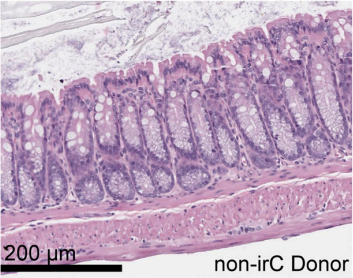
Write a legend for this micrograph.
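This is a section of normal-looking colon wall stained with hematoxylin and eosin. The mucosa is made of straight, evenly spaced crypts running down from the surface like test tubes. Their lining is full of goblet cells, seen as pale, clear, rounded vacuoles with small dark nuclei pushed to the base. Between the crypts is a narrow lamina propria with only scattered nuclei. Beneath the crypts lies a thin submucosa and then a thin pink band of smooth muscle. Above the surface, pale wispy mucus and debris fill the lumen.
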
